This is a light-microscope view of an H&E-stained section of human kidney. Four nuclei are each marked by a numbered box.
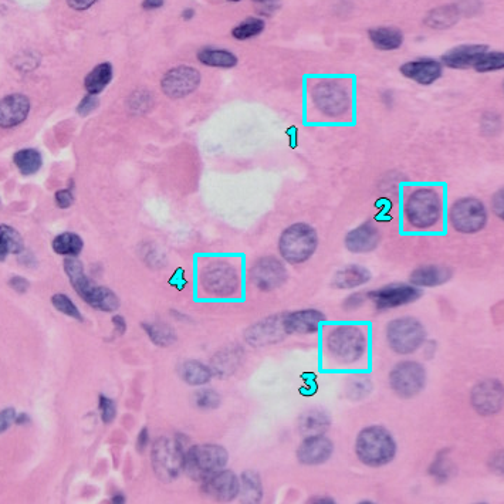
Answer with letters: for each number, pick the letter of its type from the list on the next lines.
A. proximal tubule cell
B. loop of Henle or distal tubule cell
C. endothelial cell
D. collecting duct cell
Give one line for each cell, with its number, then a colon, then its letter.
1: A
2: A
3: D
4: A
